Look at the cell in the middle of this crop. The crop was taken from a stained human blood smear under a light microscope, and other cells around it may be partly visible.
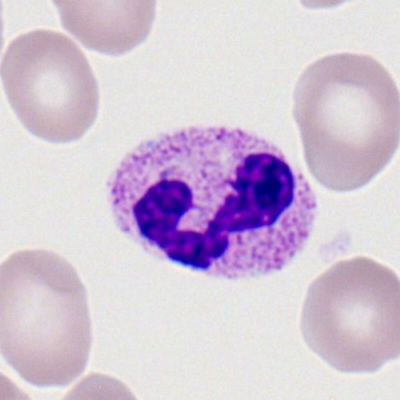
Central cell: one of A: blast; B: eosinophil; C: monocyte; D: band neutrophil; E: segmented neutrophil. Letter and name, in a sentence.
What option E states is correct, the central cell being a segmented neutrophil.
